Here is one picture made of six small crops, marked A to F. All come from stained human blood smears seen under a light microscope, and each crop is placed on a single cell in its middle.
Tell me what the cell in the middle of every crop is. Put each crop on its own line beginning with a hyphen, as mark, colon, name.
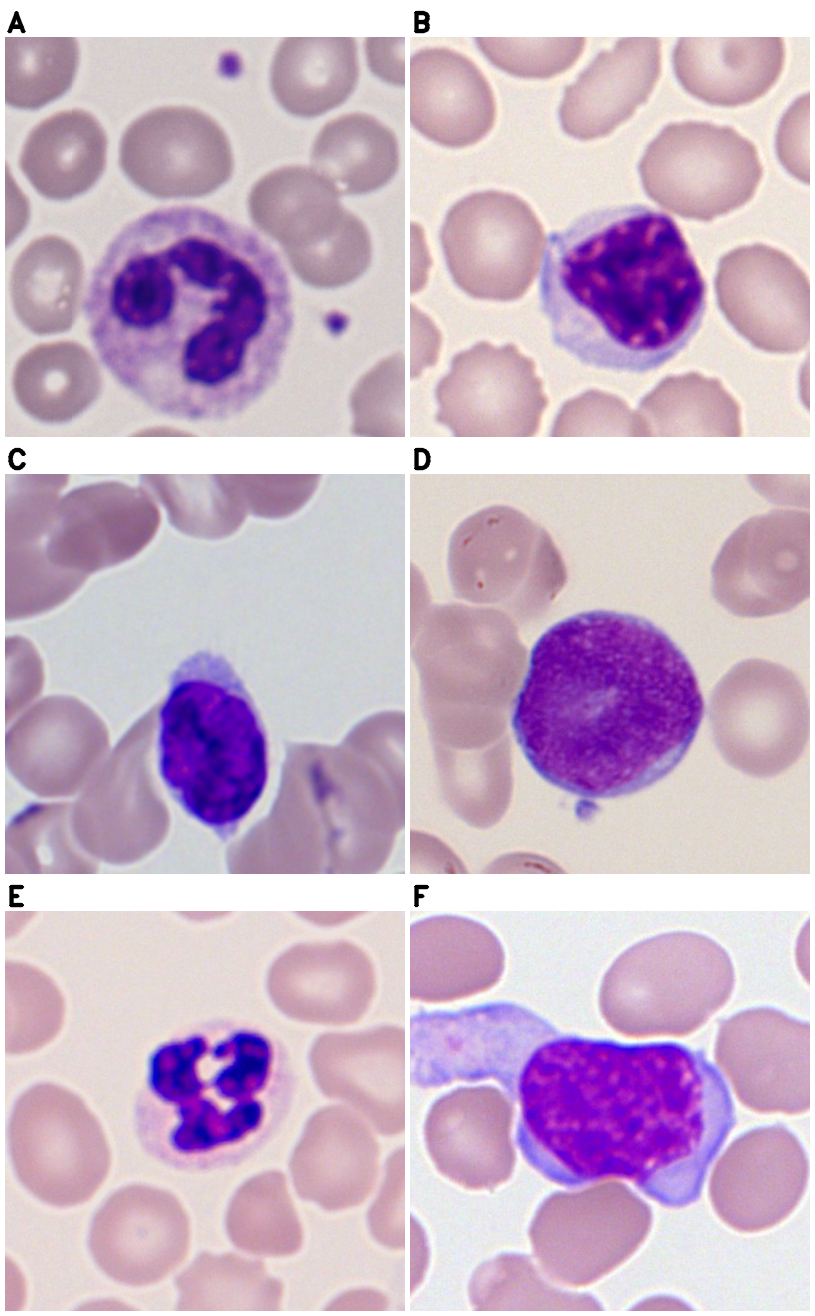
- A: segmented neutrophil
- B: lymphocyte
- C: lymphocyte
- D: myeloblast
- E: segmented neutrophil
- F: lymphocyte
